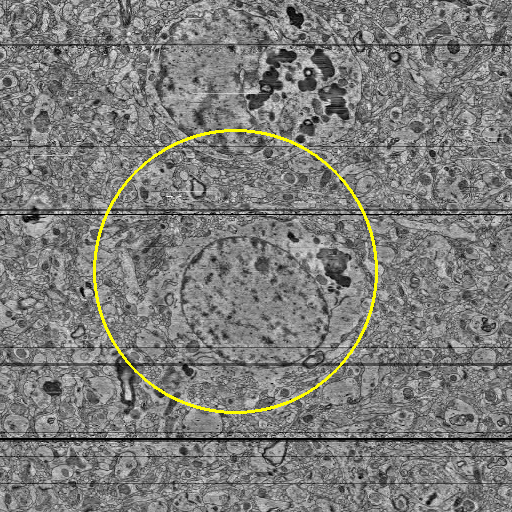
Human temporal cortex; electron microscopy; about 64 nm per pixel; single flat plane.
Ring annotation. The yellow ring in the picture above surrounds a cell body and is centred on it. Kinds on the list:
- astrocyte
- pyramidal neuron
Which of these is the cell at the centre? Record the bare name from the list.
astrocyte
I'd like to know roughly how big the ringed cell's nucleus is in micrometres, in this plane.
In this plane, roughly 10 by 8 micrometres.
